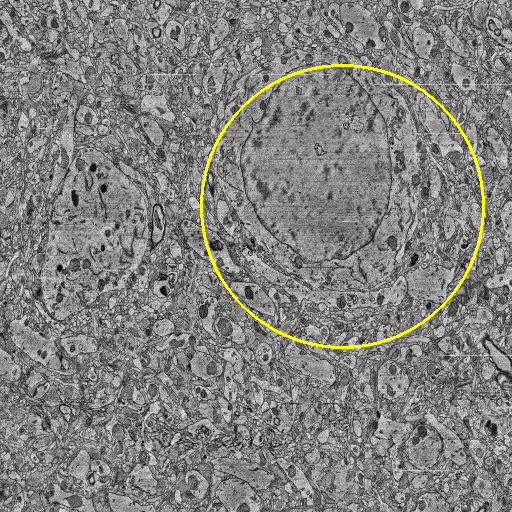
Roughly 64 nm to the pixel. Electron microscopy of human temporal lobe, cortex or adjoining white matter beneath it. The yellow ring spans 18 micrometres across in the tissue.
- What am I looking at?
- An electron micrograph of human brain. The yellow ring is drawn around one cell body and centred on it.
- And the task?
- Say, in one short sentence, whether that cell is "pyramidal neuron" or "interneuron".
The cell in the middle of the ring is a pyramidal neuron.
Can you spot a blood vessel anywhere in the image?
No, there is no blood vessel.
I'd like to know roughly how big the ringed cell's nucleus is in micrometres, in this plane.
About 13 micrometres by about 10 micrometres in this plane.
